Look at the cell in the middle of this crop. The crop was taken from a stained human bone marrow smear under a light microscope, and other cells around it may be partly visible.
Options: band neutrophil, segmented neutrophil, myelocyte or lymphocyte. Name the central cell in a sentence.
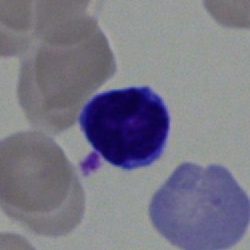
The cell under consideration, at the middle of the crop, is a lymphocyte.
